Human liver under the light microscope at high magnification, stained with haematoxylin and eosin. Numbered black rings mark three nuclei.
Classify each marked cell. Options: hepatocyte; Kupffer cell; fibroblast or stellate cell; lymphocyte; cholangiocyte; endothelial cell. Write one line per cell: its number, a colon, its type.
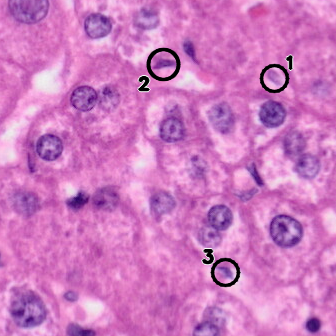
1: Kupffer cell
2: endothelial cell
3: endothelial cell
